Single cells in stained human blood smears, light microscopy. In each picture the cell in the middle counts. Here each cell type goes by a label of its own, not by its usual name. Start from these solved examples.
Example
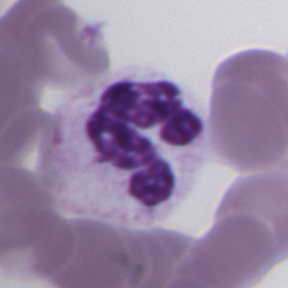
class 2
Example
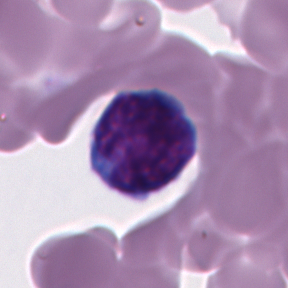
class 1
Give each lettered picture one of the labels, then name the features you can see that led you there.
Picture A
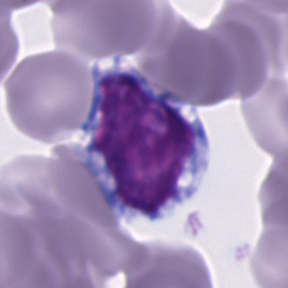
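class 1. Evidence: The nucleus fills most of the cell.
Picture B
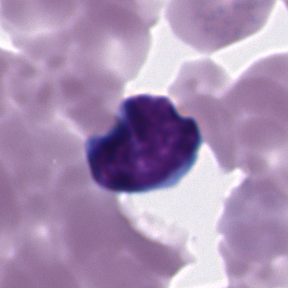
class 1. Evidence: The cytoplasm is scant, showing only as a thin rim at the edge of the nucleus.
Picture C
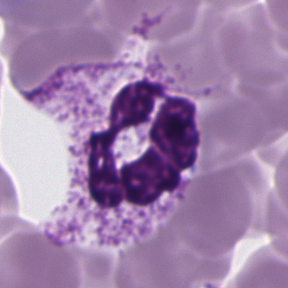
class 2. Evidence: The cytoplasm is plentiful and very pale, nearly colourless with a faint pink tinge.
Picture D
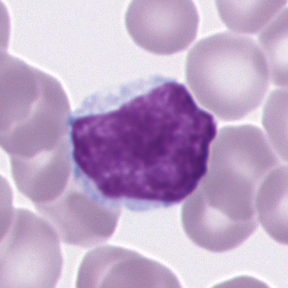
class 1. Evidence: The cytoplasm forms only a narrow rim around the nucleus.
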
